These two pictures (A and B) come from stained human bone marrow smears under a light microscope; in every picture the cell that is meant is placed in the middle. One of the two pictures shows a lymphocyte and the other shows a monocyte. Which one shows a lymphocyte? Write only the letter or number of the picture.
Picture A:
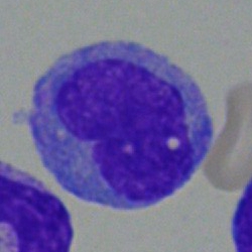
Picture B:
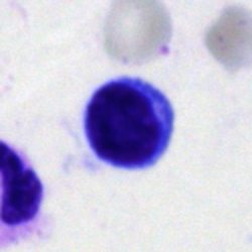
B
